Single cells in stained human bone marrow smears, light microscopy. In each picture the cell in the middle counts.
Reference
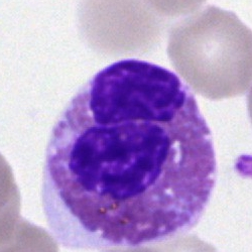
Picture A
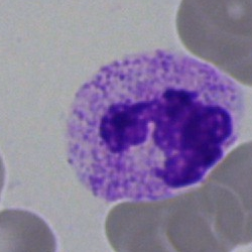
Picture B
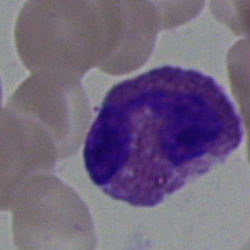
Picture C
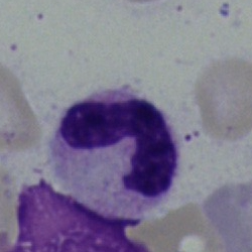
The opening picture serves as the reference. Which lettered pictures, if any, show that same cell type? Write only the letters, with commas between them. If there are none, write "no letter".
B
